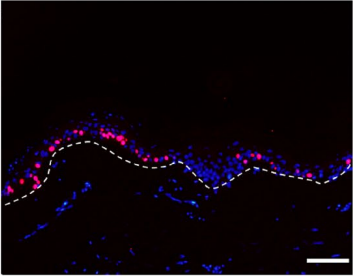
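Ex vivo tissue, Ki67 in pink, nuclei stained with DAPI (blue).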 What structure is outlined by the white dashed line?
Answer: dermal-epidermal boundary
